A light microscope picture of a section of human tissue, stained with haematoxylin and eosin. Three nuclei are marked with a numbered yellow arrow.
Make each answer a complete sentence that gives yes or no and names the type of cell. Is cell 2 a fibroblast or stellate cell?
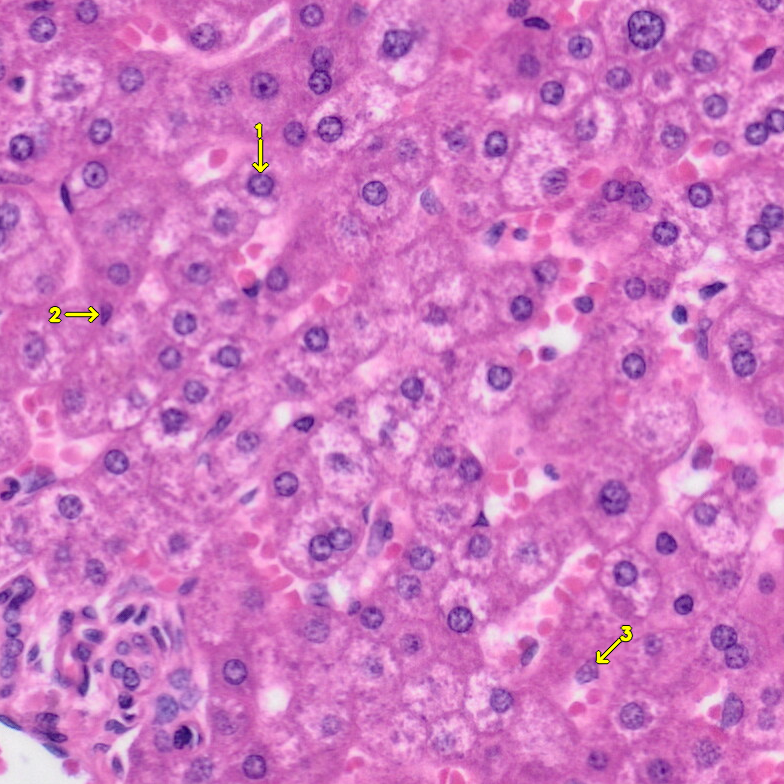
Yes, on this slide, the cell with number 2 is a fibroblast or stellate cell.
